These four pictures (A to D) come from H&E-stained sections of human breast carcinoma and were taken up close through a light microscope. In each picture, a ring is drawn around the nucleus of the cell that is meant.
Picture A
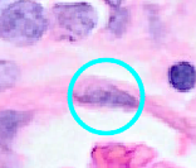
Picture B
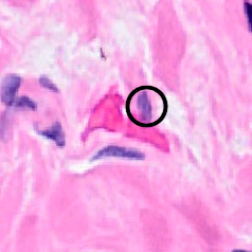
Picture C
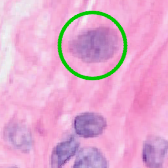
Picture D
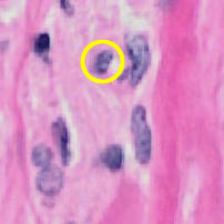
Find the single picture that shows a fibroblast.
C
